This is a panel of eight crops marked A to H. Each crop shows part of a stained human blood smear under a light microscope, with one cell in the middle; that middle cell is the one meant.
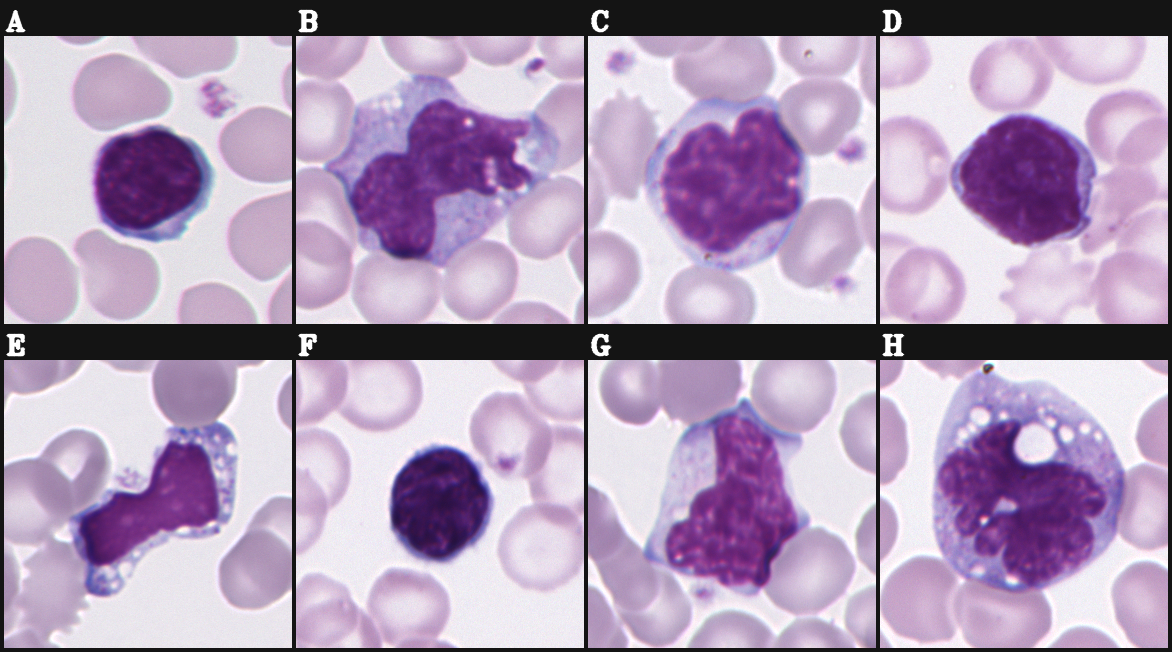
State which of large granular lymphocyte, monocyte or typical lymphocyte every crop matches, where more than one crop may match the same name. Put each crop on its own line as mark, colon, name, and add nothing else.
A: typical lymphocyte
B: monocyte
C: large granular lymphocyte
D: typical lymphocyte
E: typical lymphocyte
F: typical lymphocyte
G: large granular lymphocyte
H: monocyte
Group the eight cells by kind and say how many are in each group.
typical lymphocyte: 4
monocyte: 2
large granular lymphocyte: 2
